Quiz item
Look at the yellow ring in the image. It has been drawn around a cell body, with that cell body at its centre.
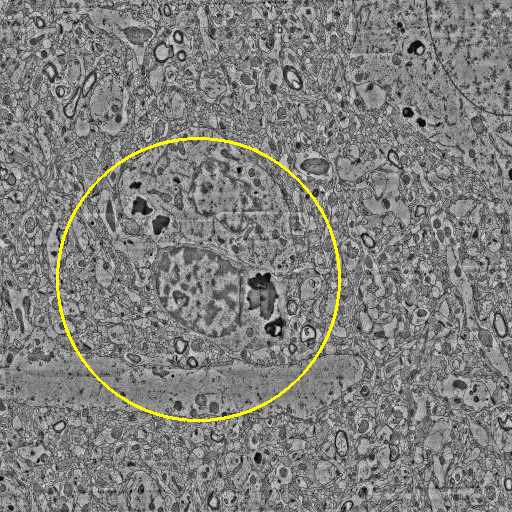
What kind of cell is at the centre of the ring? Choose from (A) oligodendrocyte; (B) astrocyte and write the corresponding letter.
A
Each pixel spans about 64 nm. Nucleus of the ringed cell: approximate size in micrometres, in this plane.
The nucleus works out at approximately 6 by 5 micrometres in this plane.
